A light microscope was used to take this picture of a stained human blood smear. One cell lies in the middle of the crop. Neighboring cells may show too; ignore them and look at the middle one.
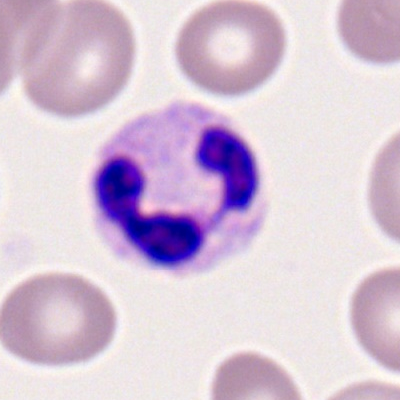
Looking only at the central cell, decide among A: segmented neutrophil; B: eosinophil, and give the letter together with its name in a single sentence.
The cell at the centre is a segmented neutrophil, and option A accordingly is correct.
